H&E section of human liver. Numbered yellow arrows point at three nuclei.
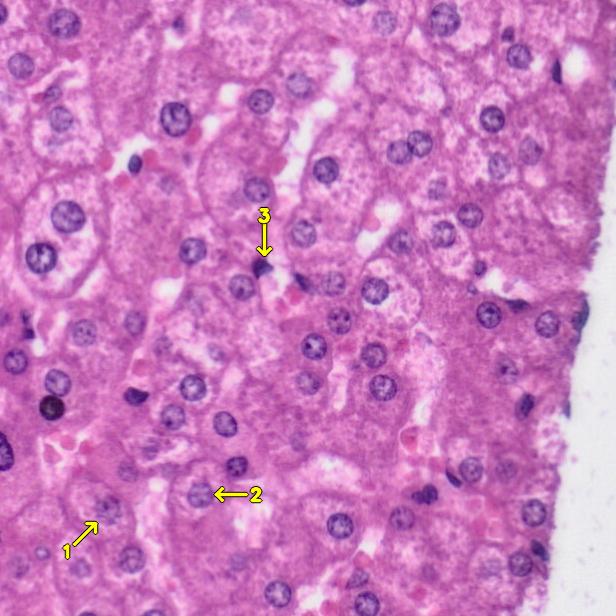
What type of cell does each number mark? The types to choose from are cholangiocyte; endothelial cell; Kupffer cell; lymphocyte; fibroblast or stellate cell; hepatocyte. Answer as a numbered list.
1. hepatocyte
2. hepatocyte
3. endothelial cell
